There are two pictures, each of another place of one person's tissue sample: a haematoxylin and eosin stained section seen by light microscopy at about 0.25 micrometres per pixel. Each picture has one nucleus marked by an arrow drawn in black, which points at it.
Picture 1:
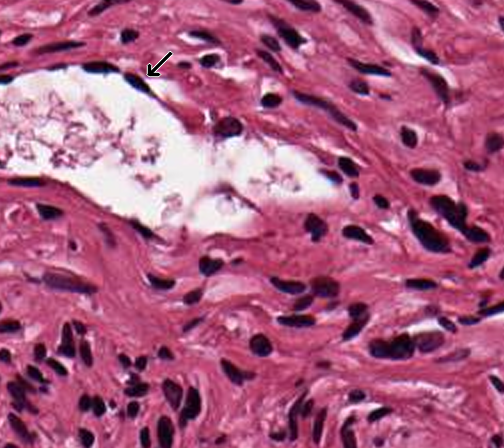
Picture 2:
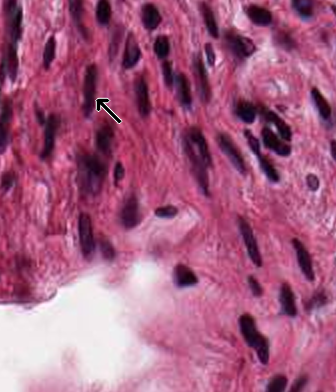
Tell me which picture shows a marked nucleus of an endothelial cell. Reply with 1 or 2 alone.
1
